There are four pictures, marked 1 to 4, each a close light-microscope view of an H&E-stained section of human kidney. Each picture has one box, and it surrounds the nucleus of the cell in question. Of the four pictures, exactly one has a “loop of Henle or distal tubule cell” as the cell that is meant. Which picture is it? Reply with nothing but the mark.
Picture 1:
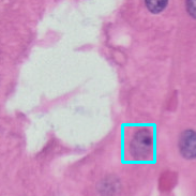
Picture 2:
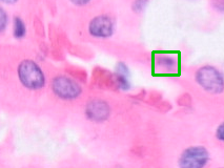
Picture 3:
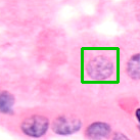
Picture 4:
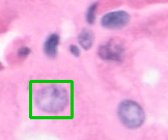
2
